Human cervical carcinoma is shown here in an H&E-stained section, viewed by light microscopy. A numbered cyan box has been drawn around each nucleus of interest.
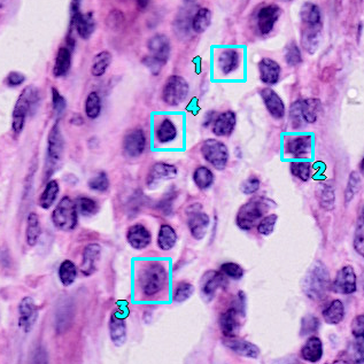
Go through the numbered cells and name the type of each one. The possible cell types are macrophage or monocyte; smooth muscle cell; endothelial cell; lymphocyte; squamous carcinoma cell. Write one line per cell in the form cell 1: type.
cell 1: lymphocyte
cell 2: lymphocyte
cell 3: macrophage or monocyte
cell 4: lymphocyte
